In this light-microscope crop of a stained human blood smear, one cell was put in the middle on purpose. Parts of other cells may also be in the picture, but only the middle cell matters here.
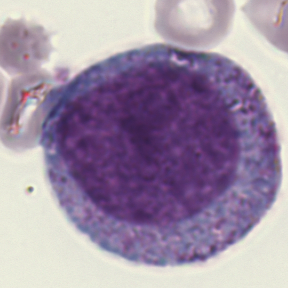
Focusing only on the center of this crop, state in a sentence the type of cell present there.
The crop shows a promyelocyte in its centre.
